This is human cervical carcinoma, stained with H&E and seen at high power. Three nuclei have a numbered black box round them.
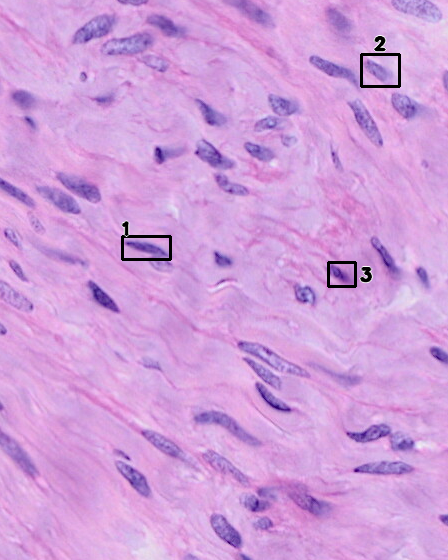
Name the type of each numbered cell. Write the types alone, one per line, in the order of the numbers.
fibroblast
fibroblast
smooth muscle cell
